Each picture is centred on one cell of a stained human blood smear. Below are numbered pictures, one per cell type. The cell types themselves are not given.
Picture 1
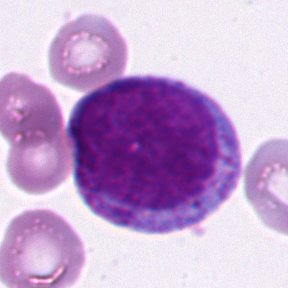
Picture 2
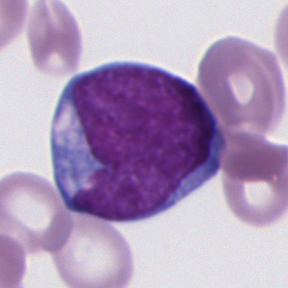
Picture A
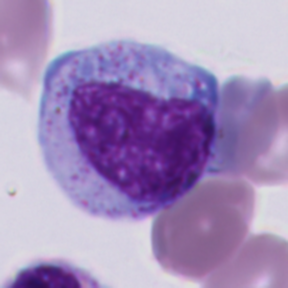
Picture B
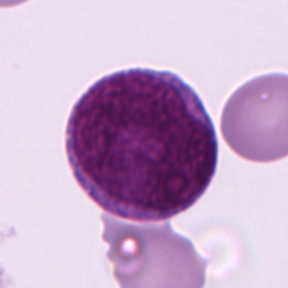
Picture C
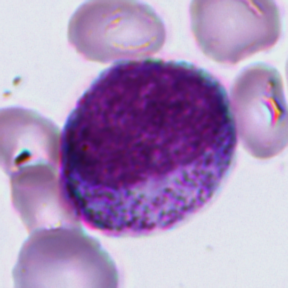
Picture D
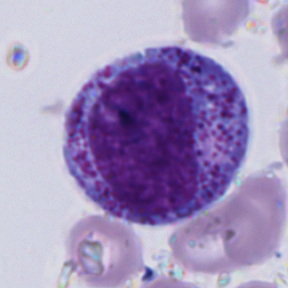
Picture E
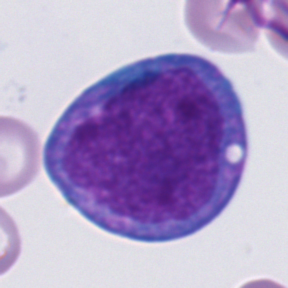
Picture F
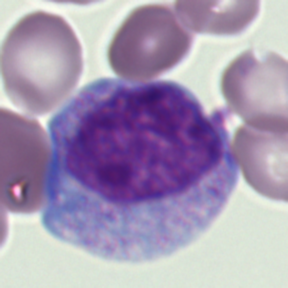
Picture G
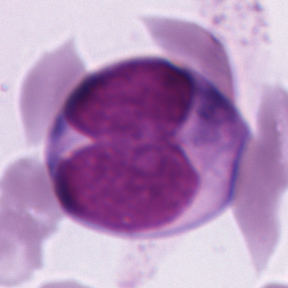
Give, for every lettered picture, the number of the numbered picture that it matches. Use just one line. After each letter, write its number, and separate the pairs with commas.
A 1, B 2, C 1, D 1, E 1, F 1, G 2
